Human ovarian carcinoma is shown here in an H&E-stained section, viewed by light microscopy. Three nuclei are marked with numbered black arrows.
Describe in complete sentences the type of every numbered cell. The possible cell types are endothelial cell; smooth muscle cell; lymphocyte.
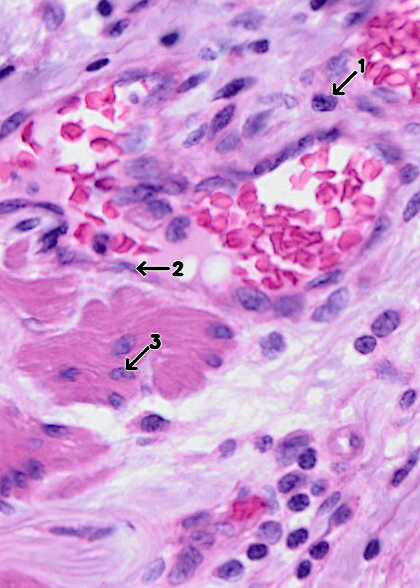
Cell 1 is a lymphocyte, cell 2 is an endothelial cell and cell 3 is a smooth muscle cell.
